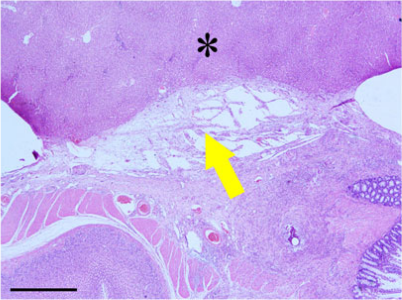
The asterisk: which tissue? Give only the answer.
Liver.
